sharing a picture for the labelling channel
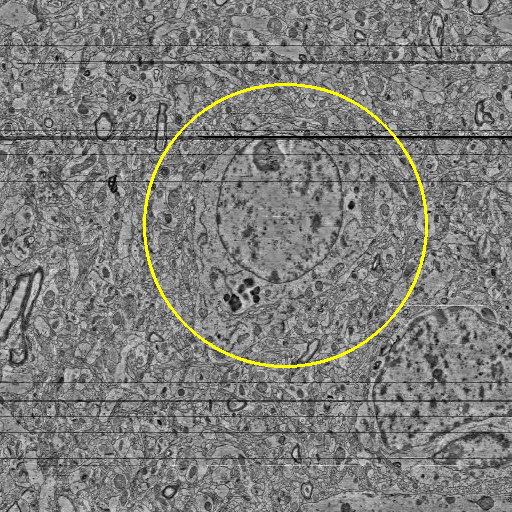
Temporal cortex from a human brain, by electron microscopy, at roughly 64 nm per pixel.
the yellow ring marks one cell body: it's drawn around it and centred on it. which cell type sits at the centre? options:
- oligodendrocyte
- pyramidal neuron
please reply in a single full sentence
In the picture, the cell at the ring's centre is a pyramidal neuron, going by the list.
